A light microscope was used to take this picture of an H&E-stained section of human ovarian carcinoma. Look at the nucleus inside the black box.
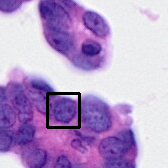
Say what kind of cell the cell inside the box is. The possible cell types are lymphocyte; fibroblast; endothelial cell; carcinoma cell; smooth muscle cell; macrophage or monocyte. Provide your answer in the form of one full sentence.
To be brief about it, the cell inside the box is a carcinoma cell.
